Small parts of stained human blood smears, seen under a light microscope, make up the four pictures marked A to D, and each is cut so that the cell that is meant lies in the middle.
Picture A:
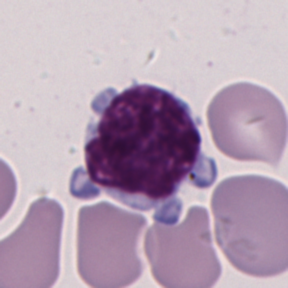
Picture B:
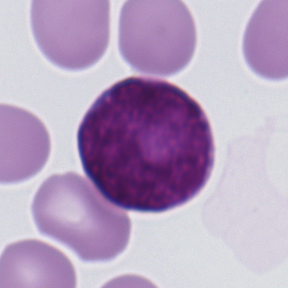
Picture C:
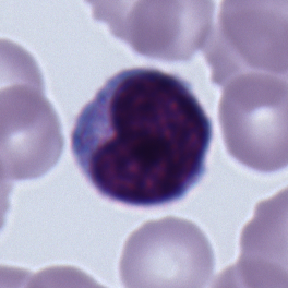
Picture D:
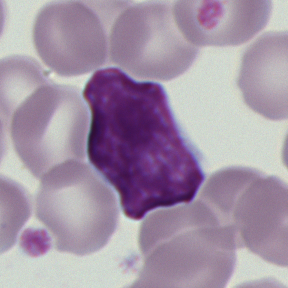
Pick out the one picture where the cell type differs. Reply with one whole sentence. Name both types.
Picture B is the odd one out: it shows a myeloblast, while the others show typical lymphocytes.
